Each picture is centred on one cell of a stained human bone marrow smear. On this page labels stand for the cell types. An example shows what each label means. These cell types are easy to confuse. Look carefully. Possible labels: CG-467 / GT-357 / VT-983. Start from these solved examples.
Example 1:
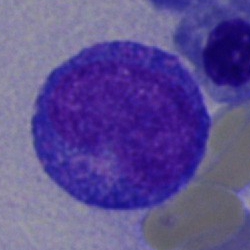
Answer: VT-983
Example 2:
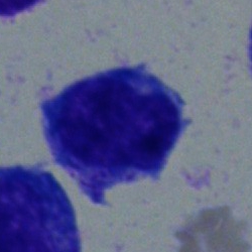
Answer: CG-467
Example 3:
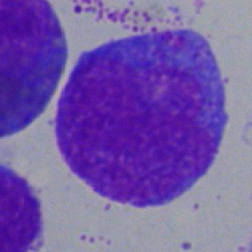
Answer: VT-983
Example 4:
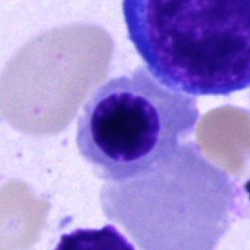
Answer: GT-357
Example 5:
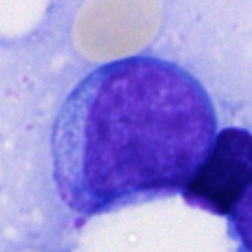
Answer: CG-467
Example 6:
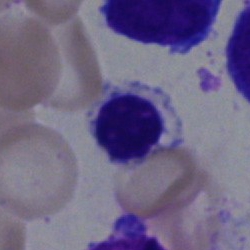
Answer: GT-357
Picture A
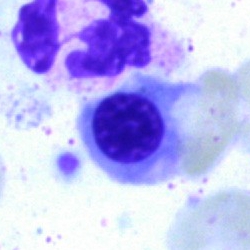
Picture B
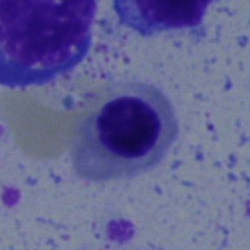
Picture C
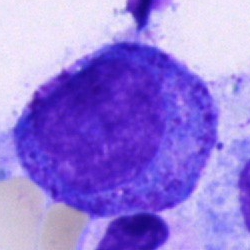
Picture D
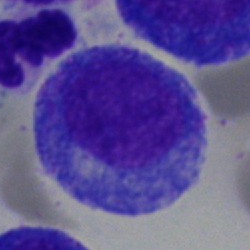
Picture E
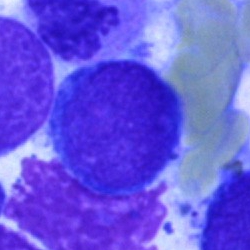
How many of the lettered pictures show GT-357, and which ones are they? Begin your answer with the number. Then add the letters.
2: A, B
